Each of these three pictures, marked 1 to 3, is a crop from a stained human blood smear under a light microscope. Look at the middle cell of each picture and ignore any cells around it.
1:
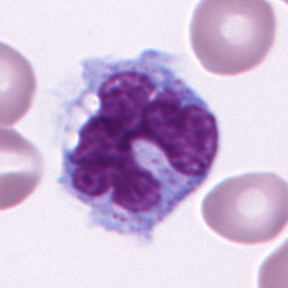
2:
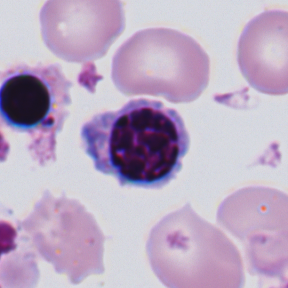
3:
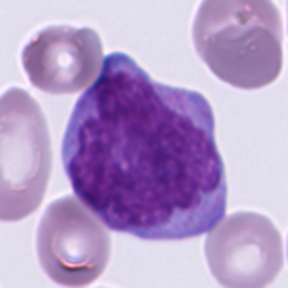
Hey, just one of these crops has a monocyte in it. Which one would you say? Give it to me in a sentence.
It is in crop 1, among all the crops, that a monocyte is present.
